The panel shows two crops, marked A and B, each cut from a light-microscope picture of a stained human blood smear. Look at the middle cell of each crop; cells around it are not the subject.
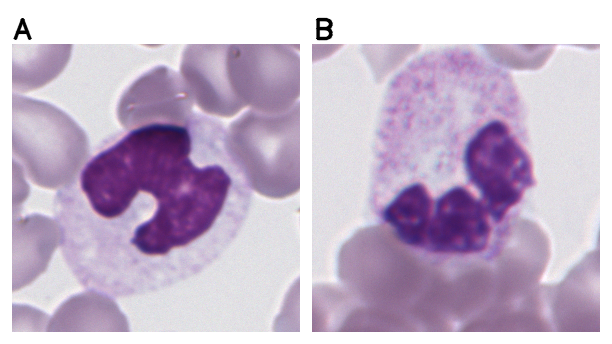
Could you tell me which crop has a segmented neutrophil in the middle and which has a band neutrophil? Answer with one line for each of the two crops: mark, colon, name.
A: band neutrophil
B: segmented neutrophil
